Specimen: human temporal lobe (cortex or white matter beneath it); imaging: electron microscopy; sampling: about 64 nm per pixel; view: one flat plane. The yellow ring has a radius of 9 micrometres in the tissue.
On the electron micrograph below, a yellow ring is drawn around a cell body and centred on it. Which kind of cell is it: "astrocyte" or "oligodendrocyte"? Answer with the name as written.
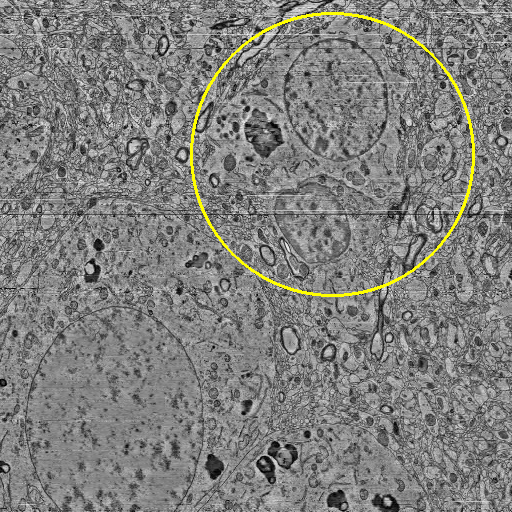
astrocyte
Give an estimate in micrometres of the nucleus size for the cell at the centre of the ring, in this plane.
The ringed cell's nucleus is about 8 micrometres long and 7 micrometres wide in this plane.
